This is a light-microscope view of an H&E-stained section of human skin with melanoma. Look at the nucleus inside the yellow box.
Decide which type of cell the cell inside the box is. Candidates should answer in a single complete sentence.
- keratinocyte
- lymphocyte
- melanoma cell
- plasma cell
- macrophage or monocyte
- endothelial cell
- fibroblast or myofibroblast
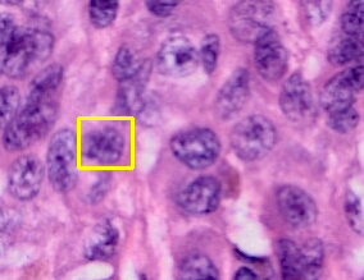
It is as a melanoma cell that the cell inside the box is recorded.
